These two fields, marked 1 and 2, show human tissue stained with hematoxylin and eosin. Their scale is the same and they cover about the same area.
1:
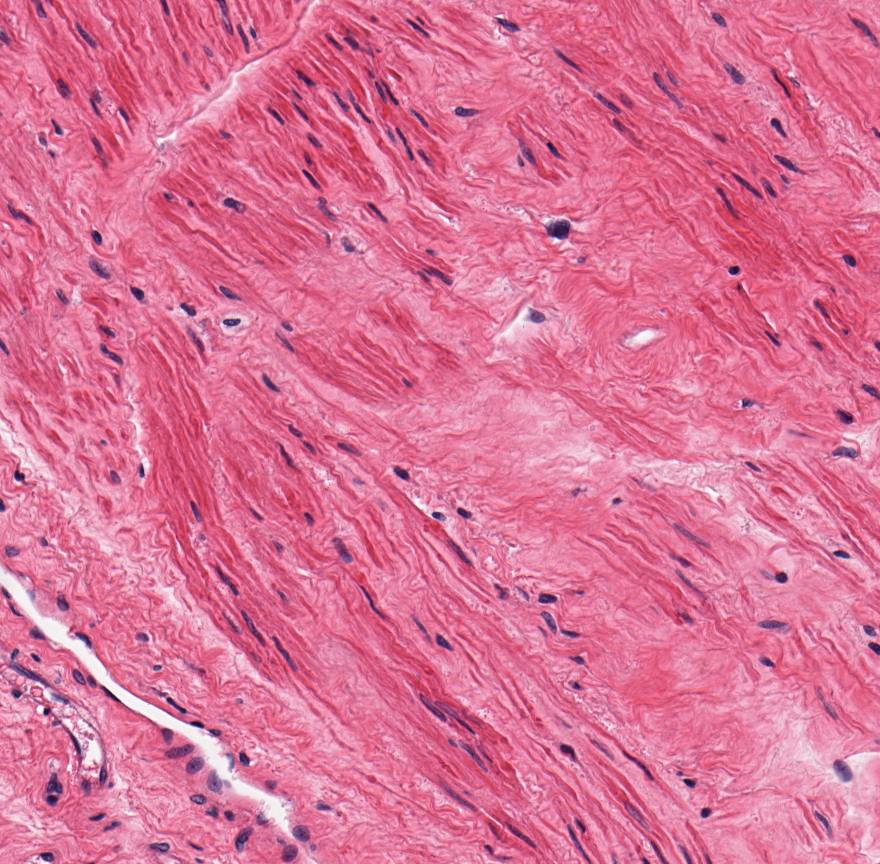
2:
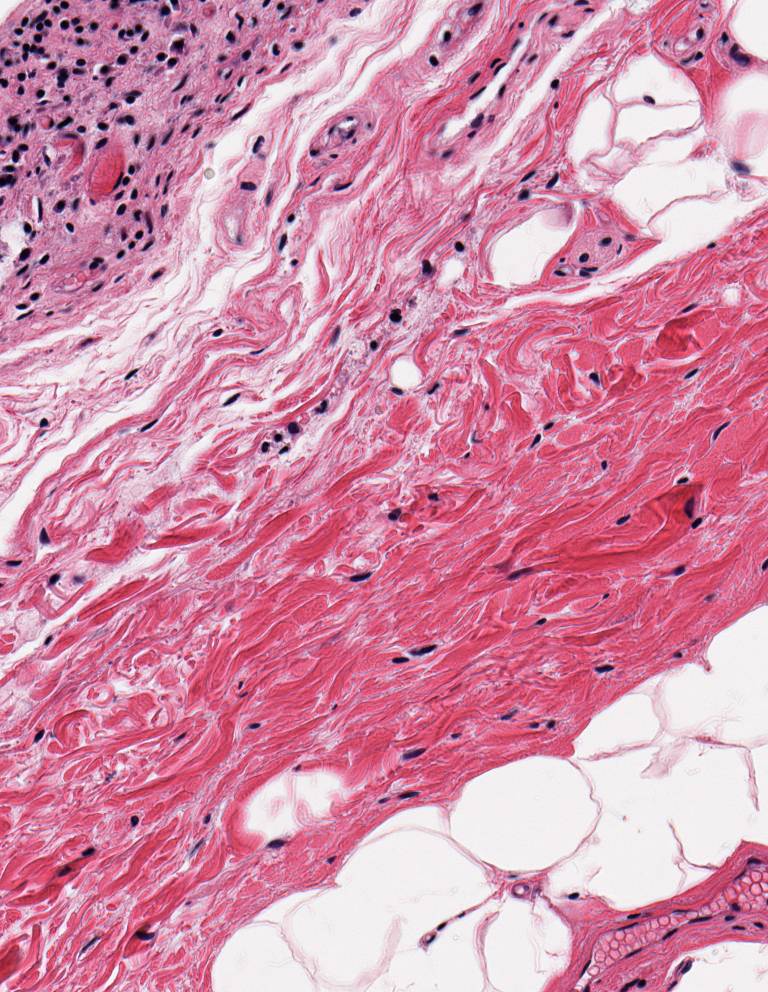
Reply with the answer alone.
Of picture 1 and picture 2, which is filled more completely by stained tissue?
1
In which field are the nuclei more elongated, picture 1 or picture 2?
1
